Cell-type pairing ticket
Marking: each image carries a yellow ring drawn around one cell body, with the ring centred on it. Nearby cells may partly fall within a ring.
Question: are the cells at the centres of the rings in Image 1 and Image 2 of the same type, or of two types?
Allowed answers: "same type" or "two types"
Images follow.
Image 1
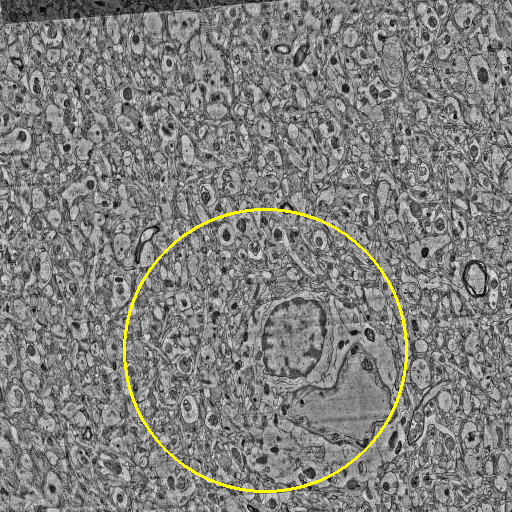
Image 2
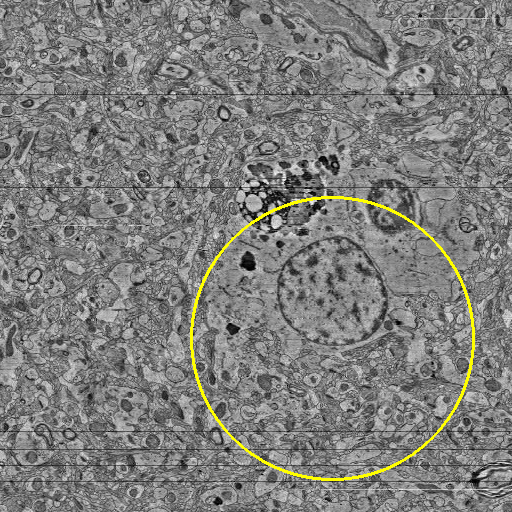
two types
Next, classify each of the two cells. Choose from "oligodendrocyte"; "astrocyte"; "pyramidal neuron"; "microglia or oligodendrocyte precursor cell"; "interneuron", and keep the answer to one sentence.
In the first picture it is a microglial cell or oligodendrocyte precursor cell; in the second it is an astrocyte.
